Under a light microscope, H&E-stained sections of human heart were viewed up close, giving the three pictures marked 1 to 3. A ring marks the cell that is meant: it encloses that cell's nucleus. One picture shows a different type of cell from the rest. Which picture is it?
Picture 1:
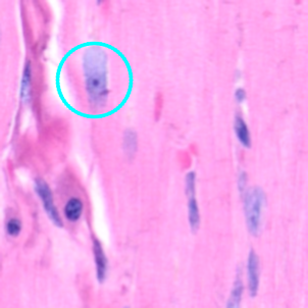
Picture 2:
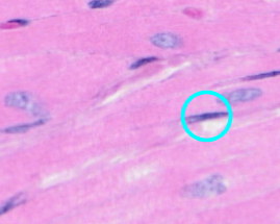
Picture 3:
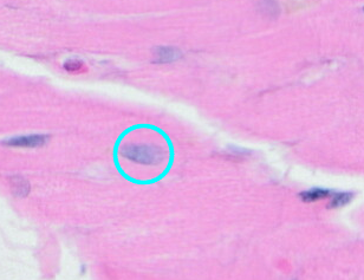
2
